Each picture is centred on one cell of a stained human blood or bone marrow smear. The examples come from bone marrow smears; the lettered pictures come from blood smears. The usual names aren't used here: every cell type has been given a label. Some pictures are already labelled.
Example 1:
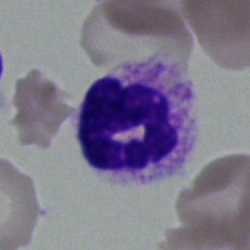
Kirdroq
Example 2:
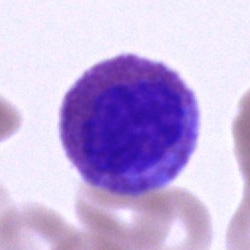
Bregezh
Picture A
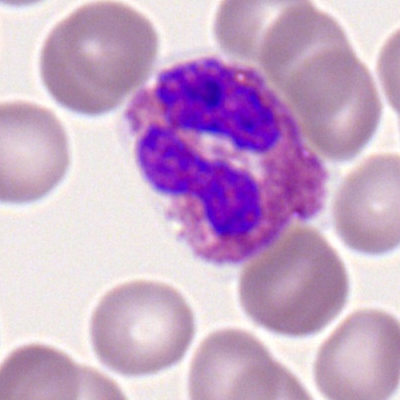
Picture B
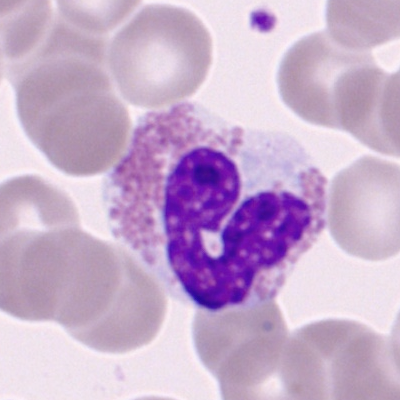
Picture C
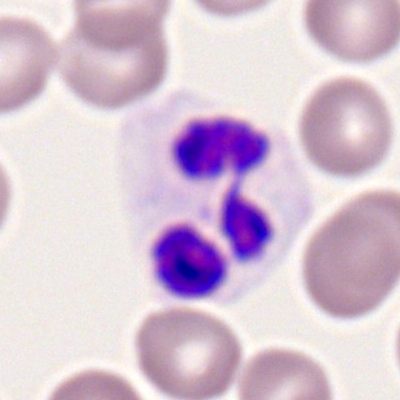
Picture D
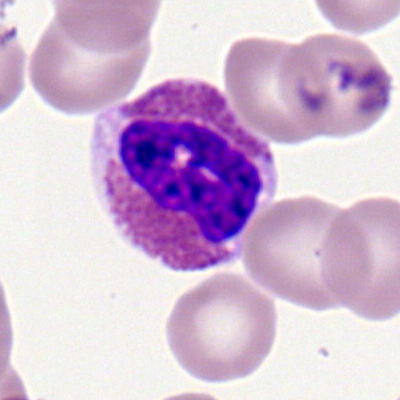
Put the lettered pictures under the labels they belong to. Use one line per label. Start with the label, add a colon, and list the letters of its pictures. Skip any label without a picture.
Kirdroq: C
Bregezh: A, B, D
